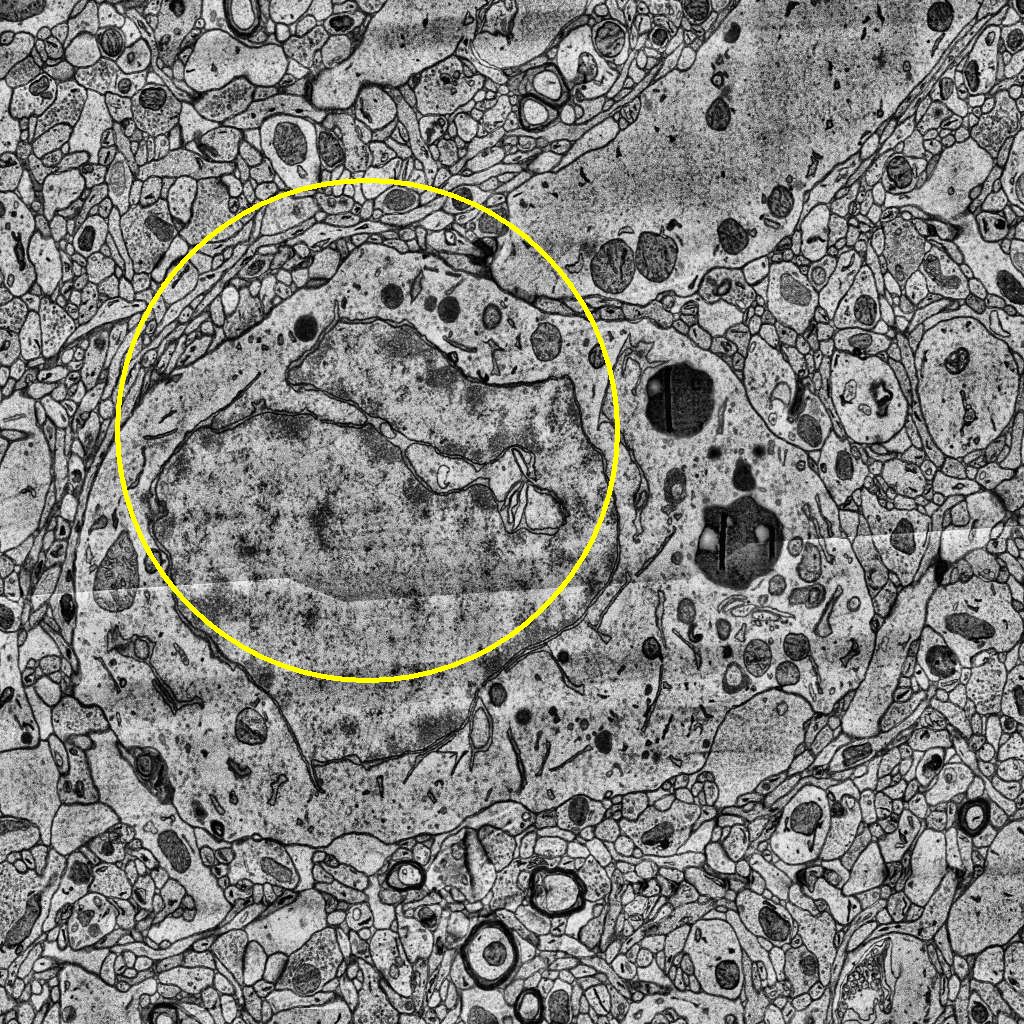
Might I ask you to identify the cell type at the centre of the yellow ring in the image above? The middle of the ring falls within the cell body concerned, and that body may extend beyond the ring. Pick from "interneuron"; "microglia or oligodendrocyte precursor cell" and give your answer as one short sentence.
The centre of the ring falls on an interneuron.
